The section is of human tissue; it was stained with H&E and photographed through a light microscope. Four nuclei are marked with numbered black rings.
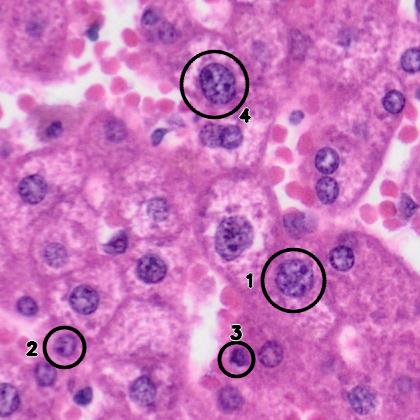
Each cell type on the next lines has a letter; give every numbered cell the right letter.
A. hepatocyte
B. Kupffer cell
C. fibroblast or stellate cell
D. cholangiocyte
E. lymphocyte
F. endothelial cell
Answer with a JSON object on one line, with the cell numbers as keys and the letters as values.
{"1": "A", "2": "A", "3": "C", "4": "A"}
